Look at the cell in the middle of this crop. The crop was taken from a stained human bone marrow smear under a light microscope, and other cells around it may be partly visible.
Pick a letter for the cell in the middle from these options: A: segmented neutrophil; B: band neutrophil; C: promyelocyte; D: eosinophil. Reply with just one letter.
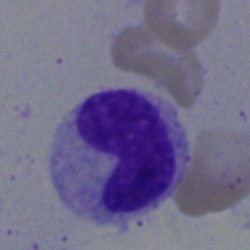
B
